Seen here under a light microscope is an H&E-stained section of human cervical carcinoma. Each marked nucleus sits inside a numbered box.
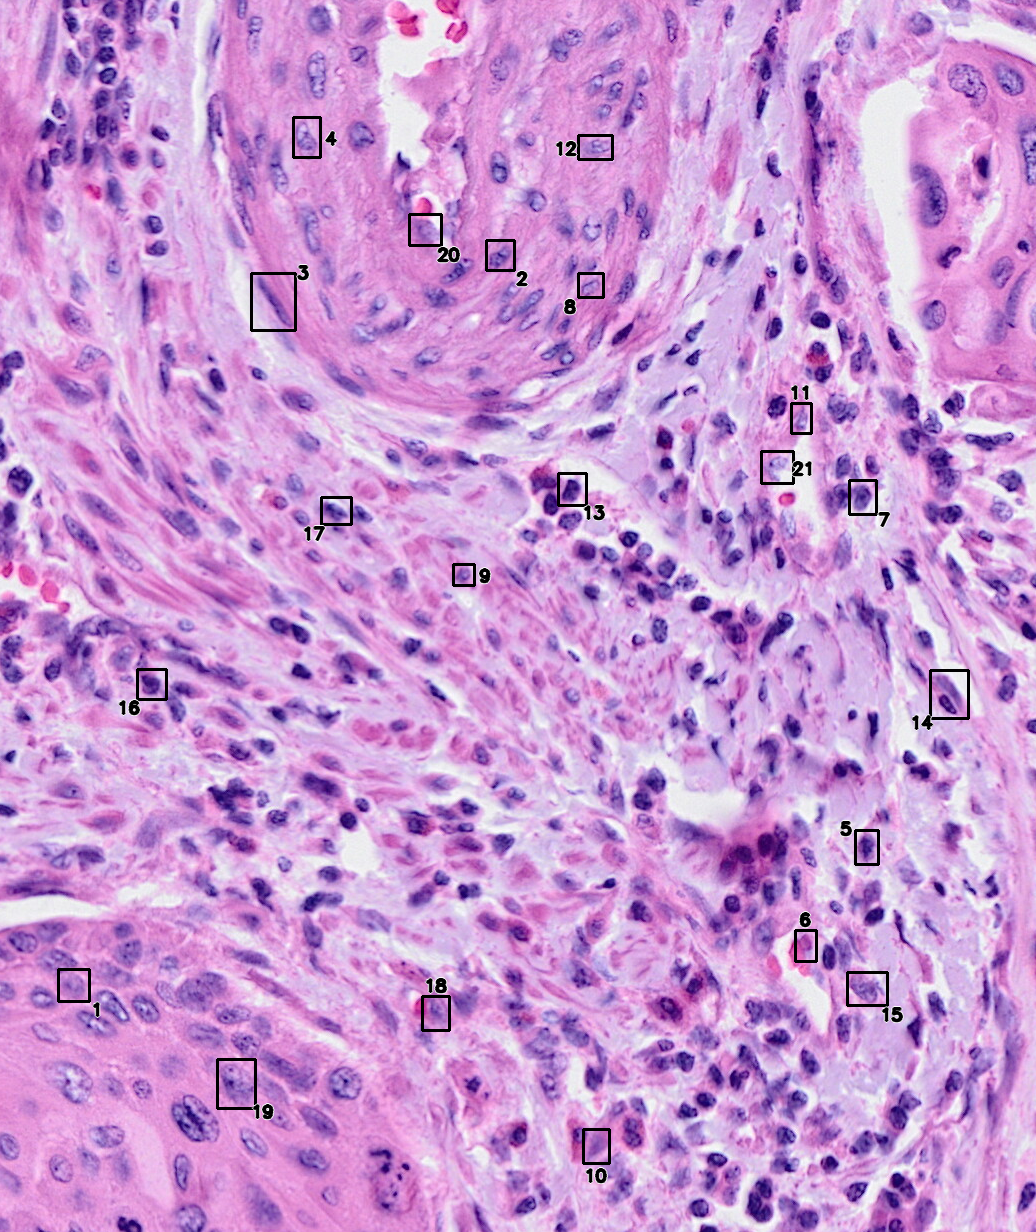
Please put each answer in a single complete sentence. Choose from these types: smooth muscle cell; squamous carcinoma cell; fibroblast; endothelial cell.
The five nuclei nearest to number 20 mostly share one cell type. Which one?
Around number 20, most of the five nearest nuclei are those of endothelial cells.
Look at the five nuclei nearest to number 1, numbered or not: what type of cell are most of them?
Most of the five nuclei nearest to number 1 are those of squamous carcinoma cells.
